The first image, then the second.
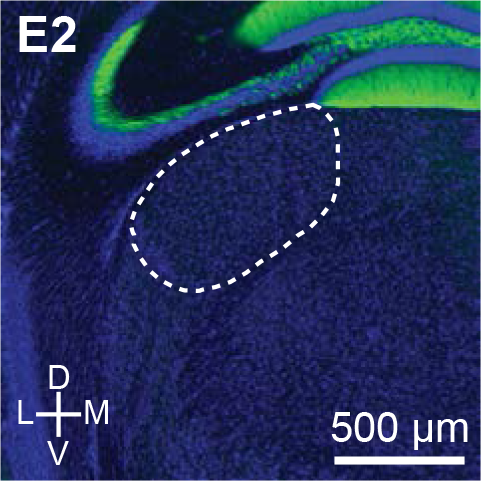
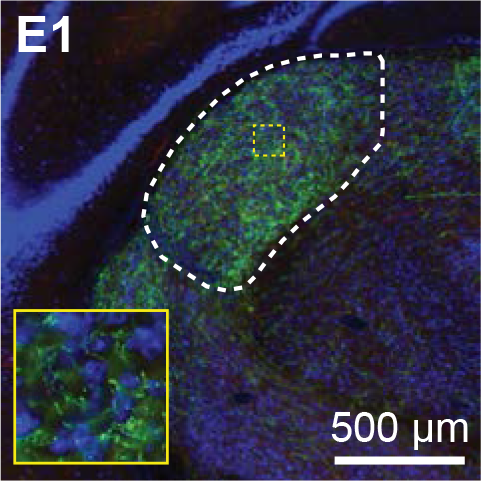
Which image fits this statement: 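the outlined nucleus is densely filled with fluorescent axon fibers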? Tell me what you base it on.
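Second image: the outlined region is filled with a dense meshwork of green fibers. On this evidence: the second image.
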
